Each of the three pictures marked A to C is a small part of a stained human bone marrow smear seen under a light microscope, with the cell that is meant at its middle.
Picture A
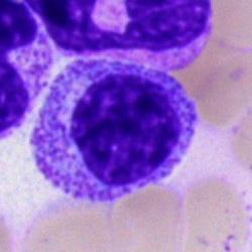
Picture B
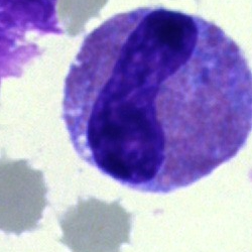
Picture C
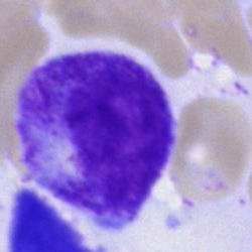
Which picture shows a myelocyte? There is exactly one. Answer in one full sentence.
The cell in picture A is the myelocyte.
